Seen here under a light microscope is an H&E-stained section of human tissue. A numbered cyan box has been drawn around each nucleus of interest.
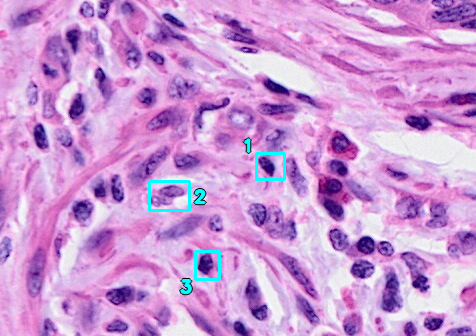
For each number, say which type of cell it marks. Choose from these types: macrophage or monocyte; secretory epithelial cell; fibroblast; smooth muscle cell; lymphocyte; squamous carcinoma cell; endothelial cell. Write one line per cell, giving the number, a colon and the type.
1: lymphocyte
2: macrophage or monocyte
3: lymphocyte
